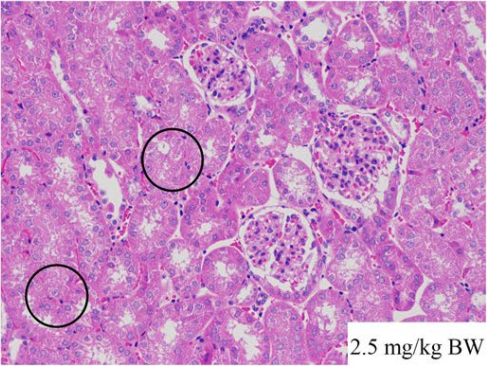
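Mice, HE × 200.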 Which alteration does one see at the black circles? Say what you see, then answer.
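Tubule cells in the circles have enlarged, pale, granular cytoplasm. The tubular lumen inside the circles is narrowed.
Conclusion: slightly swollen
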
